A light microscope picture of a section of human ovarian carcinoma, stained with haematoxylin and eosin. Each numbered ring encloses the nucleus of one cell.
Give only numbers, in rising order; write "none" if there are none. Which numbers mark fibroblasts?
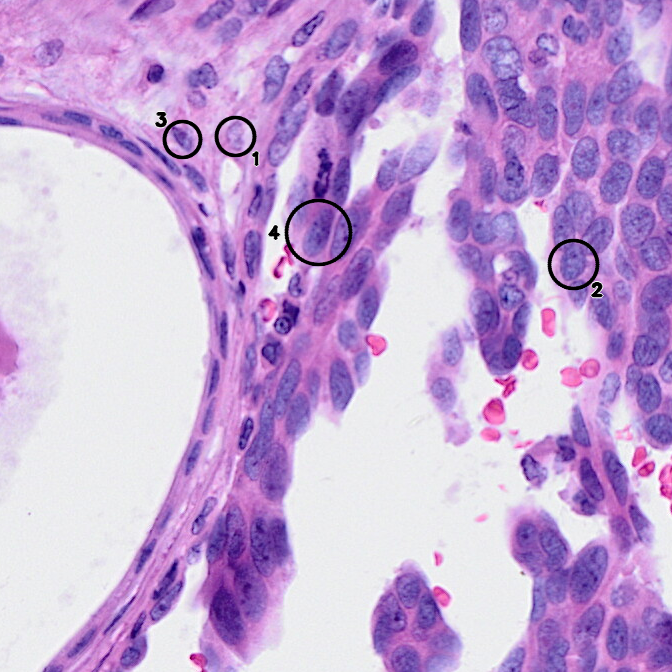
1, 3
